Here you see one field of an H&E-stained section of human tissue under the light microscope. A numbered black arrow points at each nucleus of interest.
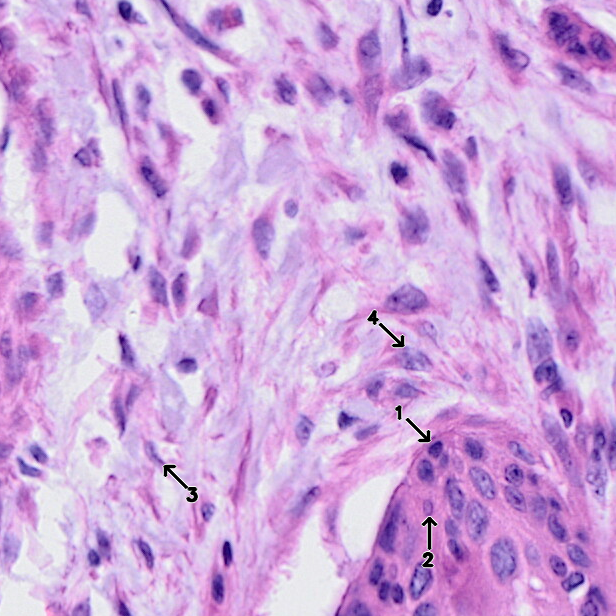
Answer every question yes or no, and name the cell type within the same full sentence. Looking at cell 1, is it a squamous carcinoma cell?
Yes, with respect to number 1, the cell is a squamous carcinoma cell.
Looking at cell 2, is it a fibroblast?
No, cell 2 has been misnamed; it is a squamous carcinoma cell, not a fibroblast.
